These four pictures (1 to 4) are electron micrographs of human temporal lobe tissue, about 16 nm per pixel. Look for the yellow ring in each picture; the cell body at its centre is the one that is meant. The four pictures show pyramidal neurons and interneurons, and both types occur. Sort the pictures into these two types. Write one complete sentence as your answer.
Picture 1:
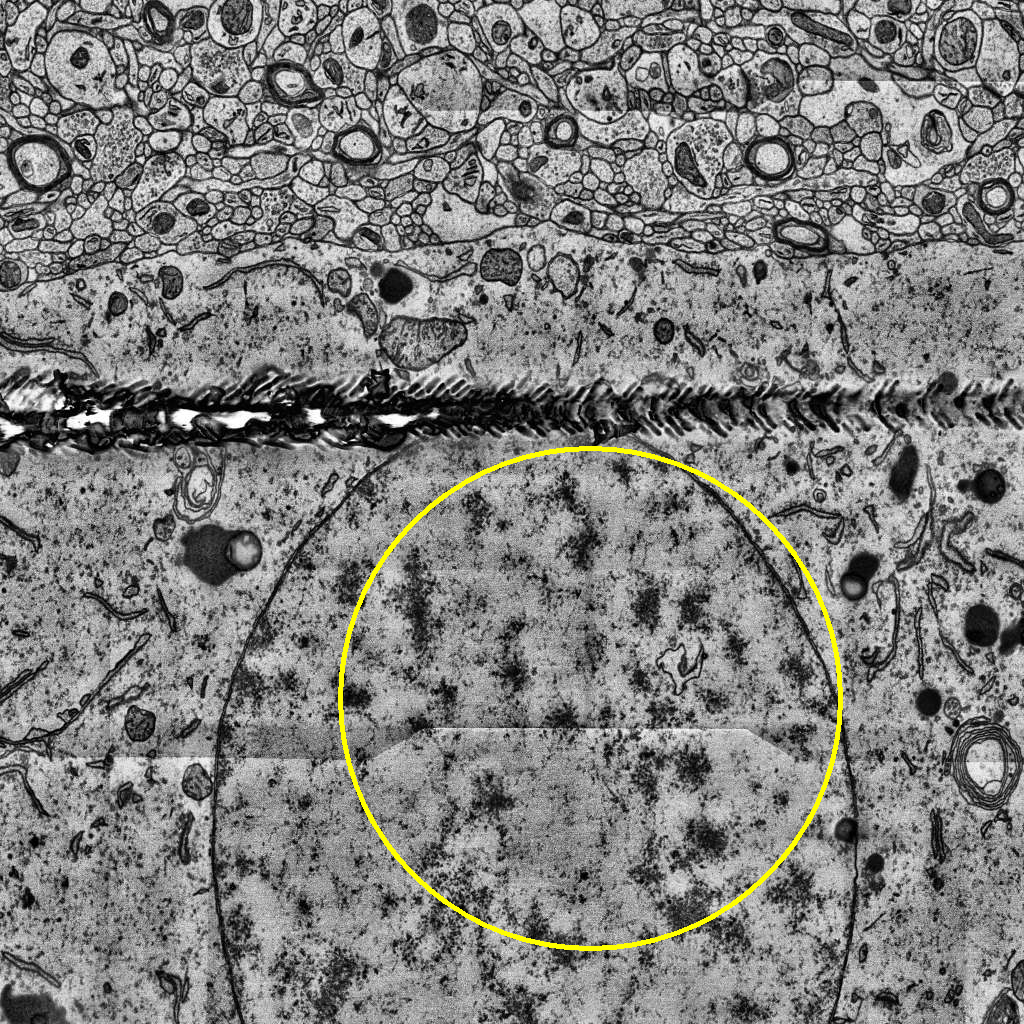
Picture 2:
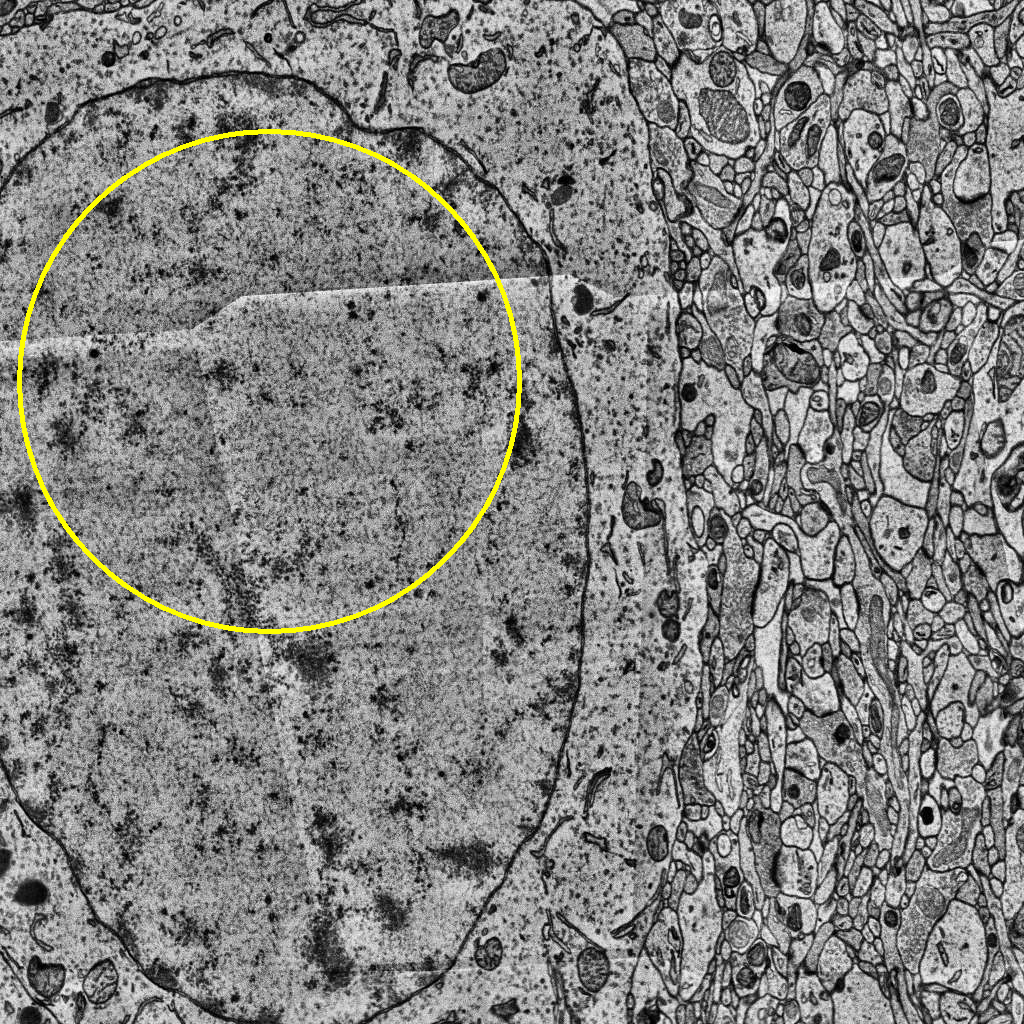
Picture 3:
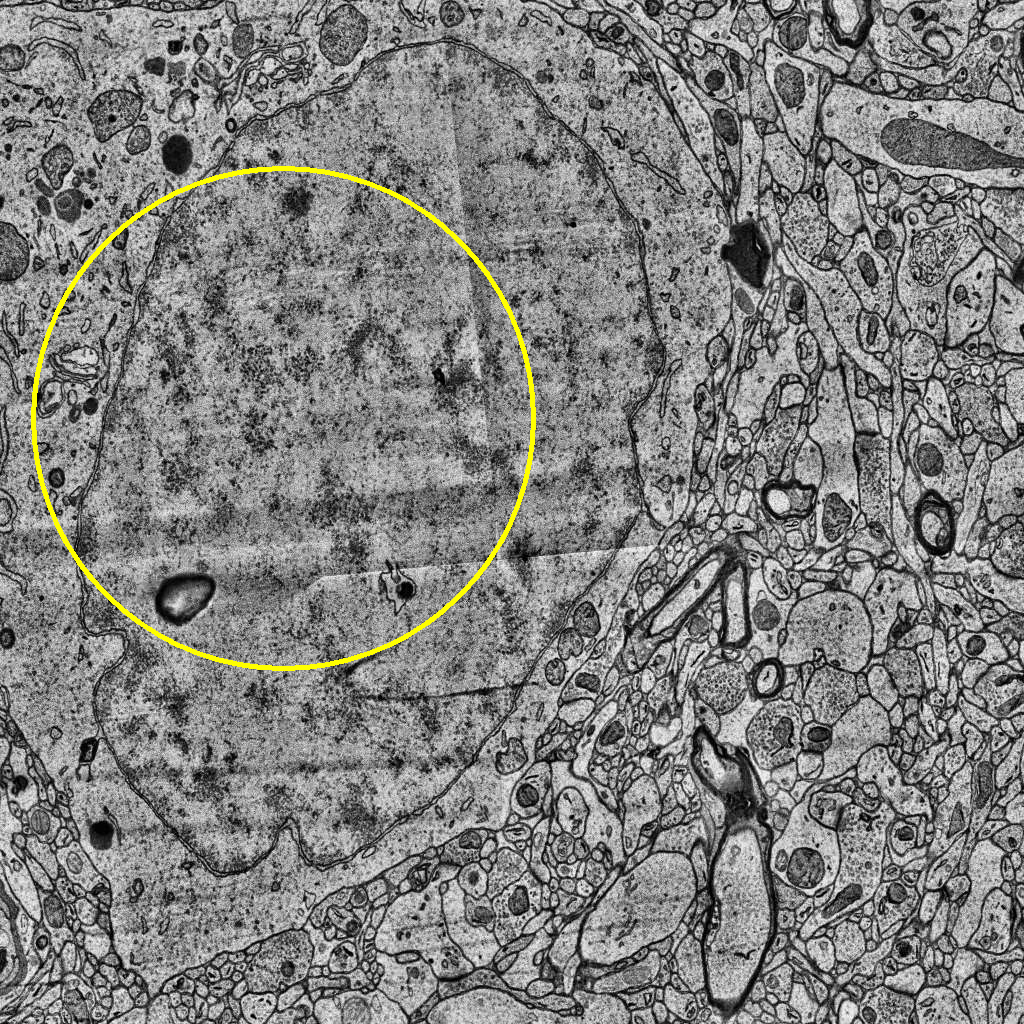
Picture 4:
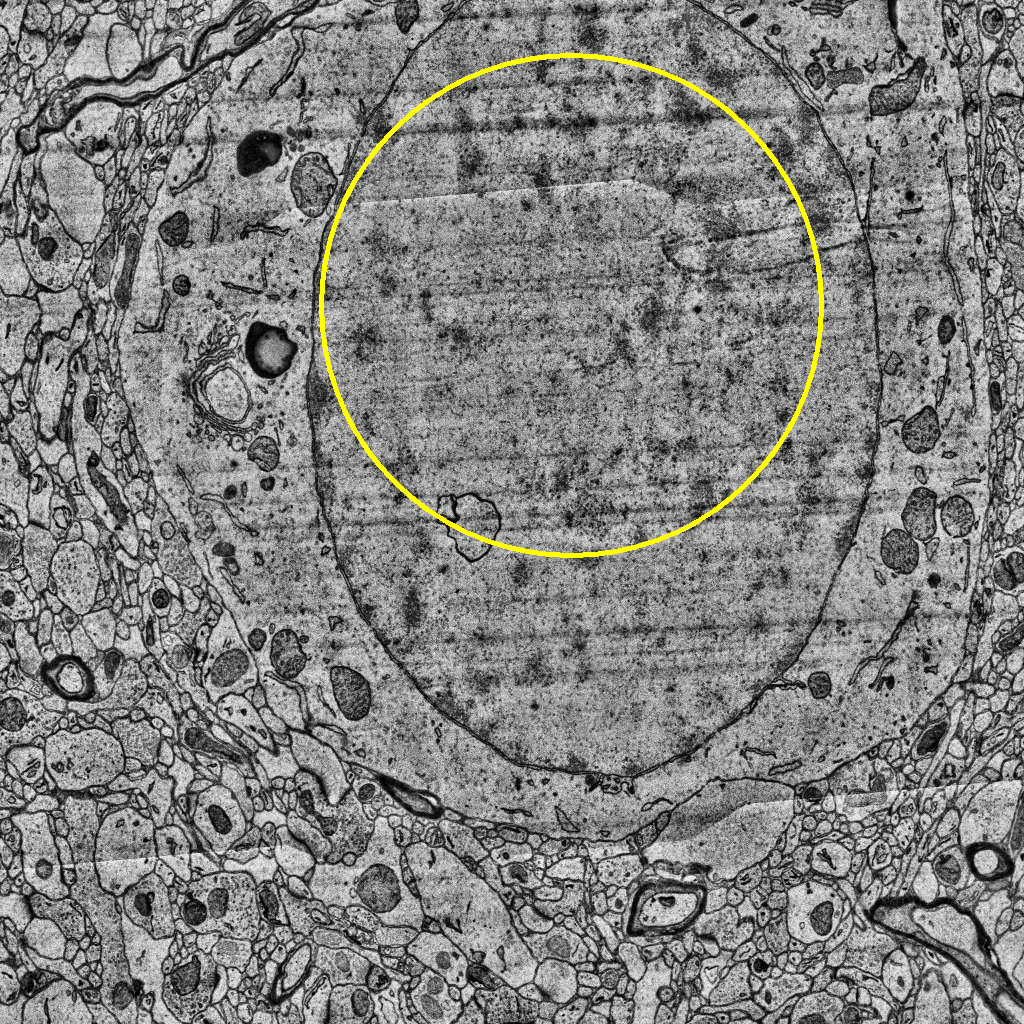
Pictures 1, 2 and 4 show pyramidal neurons; picture 3 shows an interneuron.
